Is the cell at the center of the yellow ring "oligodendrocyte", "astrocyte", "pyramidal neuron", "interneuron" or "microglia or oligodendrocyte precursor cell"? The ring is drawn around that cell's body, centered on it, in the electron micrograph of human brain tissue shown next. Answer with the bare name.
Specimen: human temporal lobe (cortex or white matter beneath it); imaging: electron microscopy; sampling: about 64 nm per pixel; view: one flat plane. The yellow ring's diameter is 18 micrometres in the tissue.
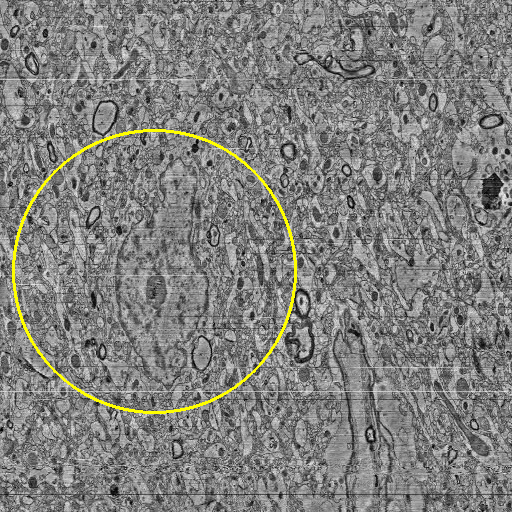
interneuron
